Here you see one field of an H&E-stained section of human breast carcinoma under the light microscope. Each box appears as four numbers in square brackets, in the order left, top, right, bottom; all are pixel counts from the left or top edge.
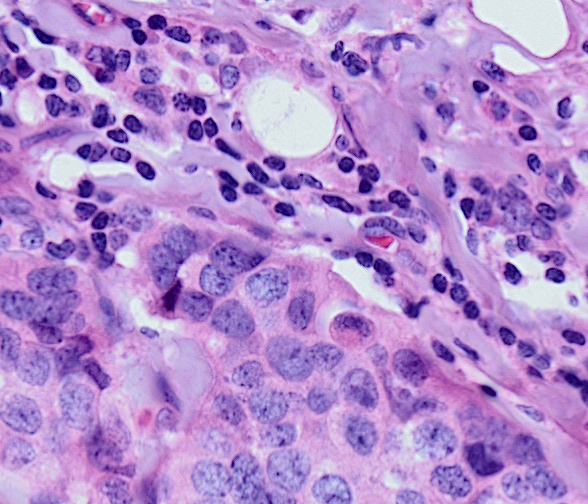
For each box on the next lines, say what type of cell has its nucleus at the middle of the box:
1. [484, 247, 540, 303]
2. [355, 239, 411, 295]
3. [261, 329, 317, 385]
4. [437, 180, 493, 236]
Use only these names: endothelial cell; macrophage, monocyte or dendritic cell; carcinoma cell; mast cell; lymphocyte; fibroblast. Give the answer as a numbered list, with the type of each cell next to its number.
1. lymphocyte
2. lymphocyte
3. carcinoma cell
4. lymphocyte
